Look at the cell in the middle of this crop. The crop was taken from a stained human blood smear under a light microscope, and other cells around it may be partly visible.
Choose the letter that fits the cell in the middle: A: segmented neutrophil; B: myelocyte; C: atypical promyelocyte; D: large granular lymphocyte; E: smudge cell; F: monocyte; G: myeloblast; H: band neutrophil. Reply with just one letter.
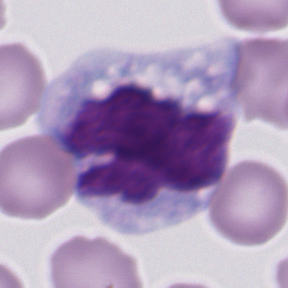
F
